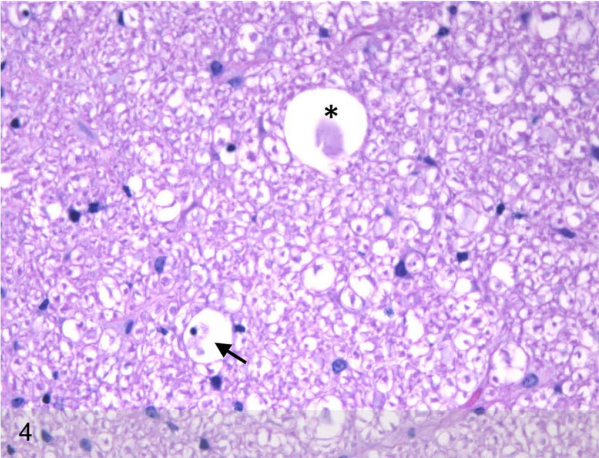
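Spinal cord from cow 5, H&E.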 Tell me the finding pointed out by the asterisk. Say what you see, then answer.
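Swollen axons or spheroids. A large round clear space holds a pink, irregular globular body. This space is much larger than the surrounding vacuoles.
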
